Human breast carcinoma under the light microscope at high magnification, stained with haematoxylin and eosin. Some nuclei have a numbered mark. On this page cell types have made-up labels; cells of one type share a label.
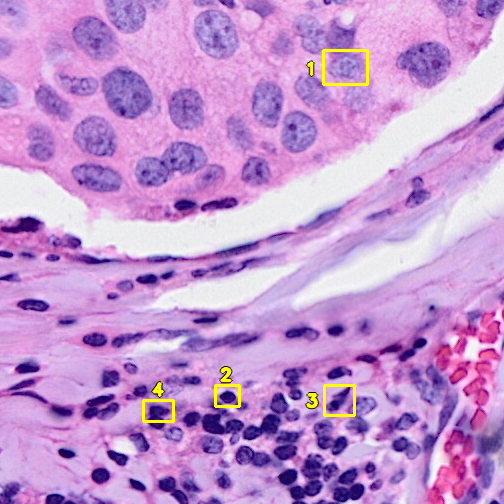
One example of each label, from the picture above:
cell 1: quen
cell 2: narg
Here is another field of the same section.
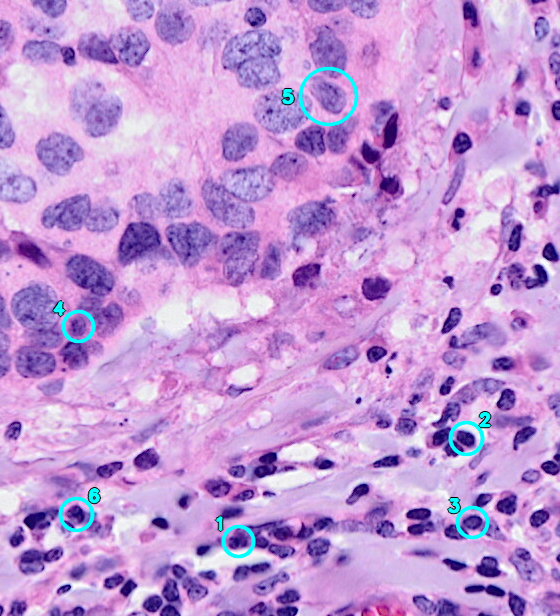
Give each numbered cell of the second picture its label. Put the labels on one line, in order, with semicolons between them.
narg; narg; narg; quen; quen; narg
